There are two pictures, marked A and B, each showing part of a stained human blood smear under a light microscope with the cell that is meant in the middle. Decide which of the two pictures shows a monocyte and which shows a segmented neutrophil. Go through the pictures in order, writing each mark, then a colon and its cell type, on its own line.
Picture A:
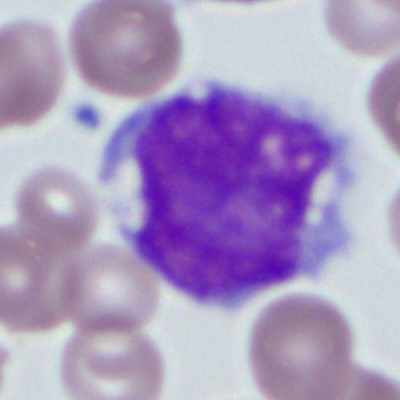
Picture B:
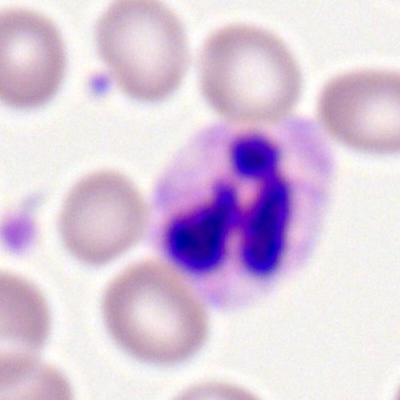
A: monocyte
B: segmented neutrophil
